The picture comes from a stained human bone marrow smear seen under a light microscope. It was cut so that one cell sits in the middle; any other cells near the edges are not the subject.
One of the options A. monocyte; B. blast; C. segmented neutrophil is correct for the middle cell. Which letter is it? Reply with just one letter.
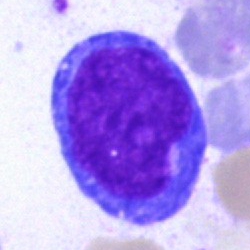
B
